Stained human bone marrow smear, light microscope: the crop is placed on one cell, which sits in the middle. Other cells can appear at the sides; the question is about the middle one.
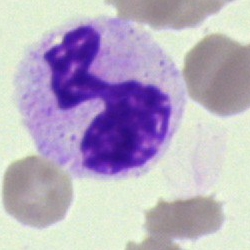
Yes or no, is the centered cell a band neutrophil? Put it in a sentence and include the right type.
No, rather than a band neutrophil, the central cell is a segmented neutrophil.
